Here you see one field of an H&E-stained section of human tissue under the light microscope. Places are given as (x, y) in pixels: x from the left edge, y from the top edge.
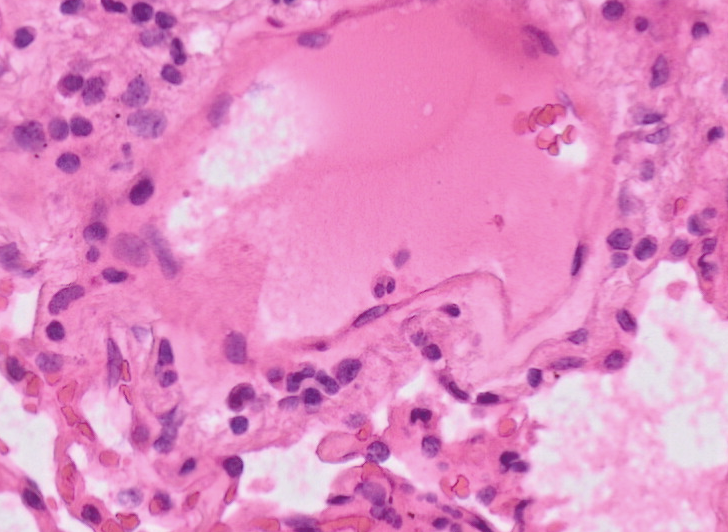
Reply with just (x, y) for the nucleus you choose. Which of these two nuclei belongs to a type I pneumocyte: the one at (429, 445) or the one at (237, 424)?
(429, 445)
